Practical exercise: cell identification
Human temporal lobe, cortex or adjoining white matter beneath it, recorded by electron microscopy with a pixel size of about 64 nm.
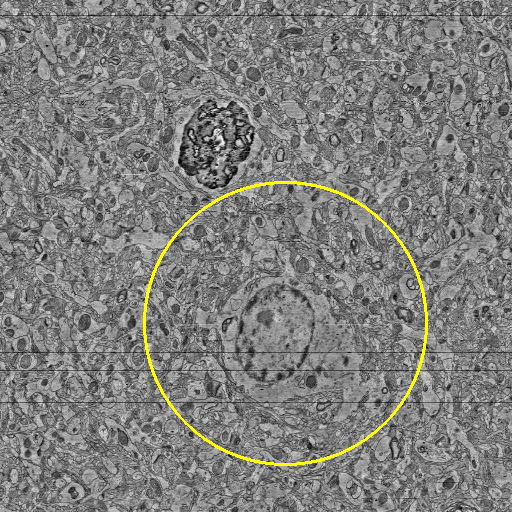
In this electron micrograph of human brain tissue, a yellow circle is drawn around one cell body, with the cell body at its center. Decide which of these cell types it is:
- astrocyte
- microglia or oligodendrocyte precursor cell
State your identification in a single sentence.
The ringed cell is an astrocyte.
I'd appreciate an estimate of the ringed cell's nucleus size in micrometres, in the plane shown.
The nucleus appears roughly 6 by 5 micrometres in this plane.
